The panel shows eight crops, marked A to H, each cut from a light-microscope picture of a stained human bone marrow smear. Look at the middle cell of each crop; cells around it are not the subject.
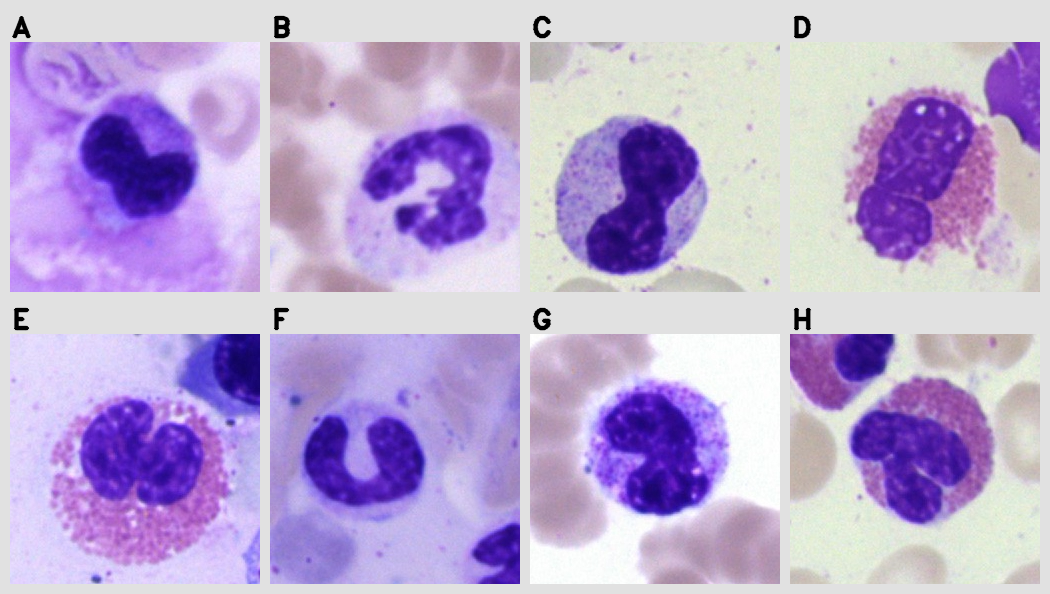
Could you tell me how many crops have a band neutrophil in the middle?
4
